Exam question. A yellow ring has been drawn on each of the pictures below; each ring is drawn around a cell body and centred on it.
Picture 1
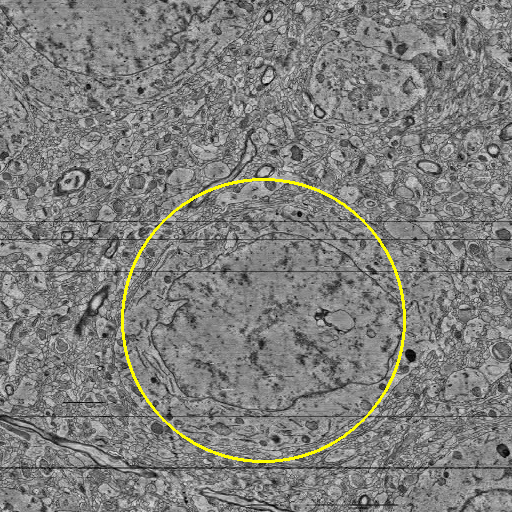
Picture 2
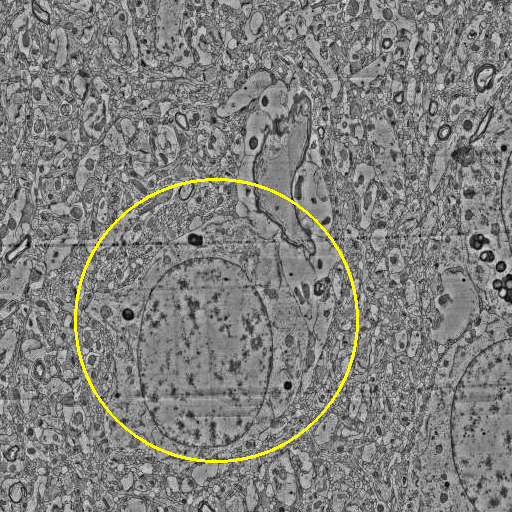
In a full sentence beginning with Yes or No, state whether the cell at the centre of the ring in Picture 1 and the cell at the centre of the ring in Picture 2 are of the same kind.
Yes, the two cells are of the same kind.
